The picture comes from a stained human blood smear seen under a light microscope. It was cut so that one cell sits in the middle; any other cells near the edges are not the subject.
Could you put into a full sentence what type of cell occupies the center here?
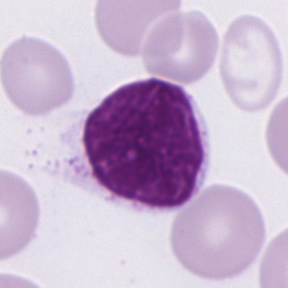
For this crop, the central cell is a large granular lymphocyte.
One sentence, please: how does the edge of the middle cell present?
The periphery of this cell is uneven, with ragged portions or projections.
